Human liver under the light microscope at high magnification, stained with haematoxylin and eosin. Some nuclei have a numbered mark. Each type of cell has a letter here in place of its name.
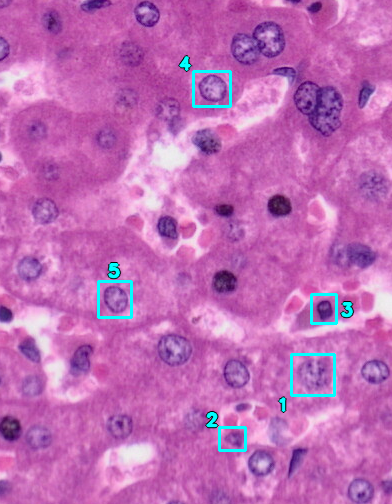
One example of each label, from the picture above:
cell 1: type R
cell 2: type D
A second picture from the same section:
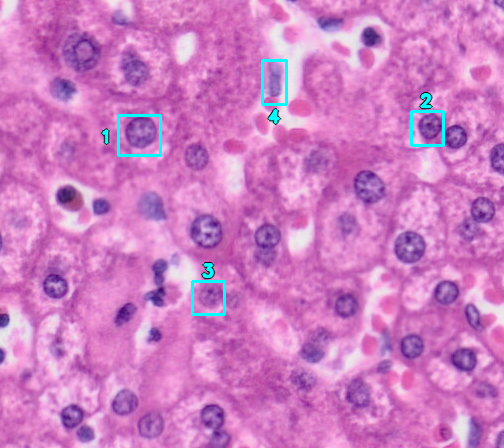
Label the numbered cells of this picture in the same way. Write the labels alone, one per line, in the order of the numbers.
type R
type R
type R
type D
